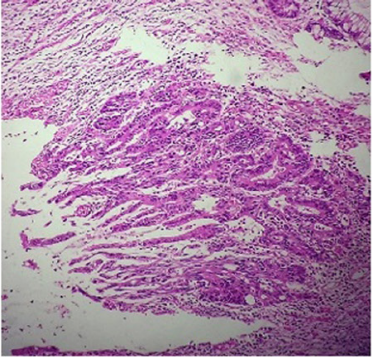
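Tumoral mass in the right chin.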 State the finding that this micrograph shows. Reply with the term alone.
Atypical glandular structure formation.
